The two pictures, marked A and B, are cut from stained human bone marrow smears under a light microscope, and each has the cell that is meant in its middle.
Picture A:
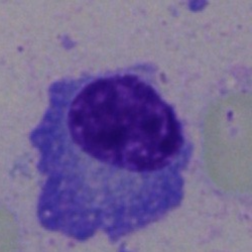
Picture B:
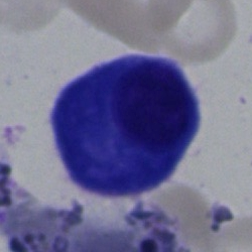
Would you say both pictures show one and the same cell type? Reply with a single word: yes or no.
yes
